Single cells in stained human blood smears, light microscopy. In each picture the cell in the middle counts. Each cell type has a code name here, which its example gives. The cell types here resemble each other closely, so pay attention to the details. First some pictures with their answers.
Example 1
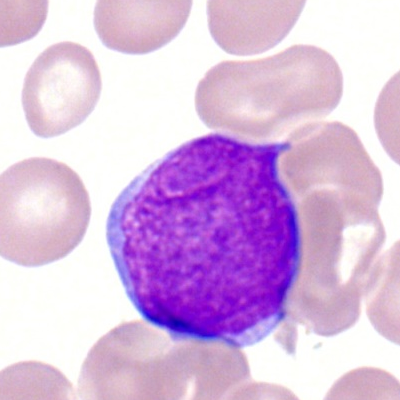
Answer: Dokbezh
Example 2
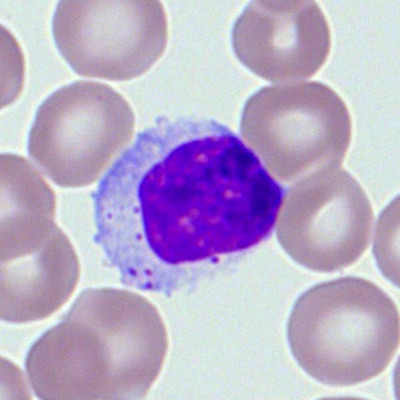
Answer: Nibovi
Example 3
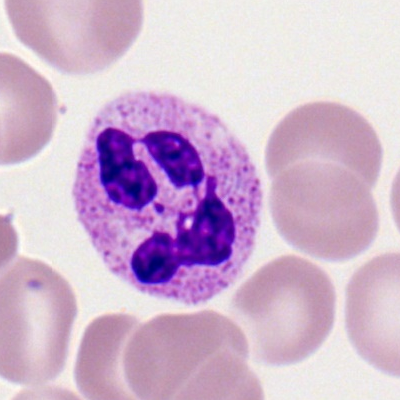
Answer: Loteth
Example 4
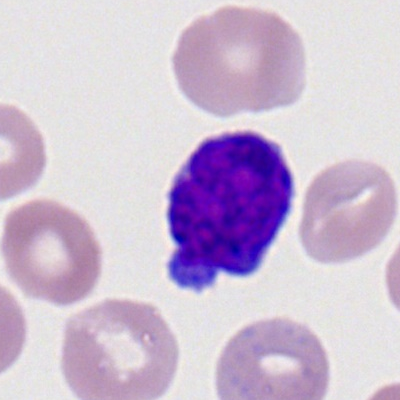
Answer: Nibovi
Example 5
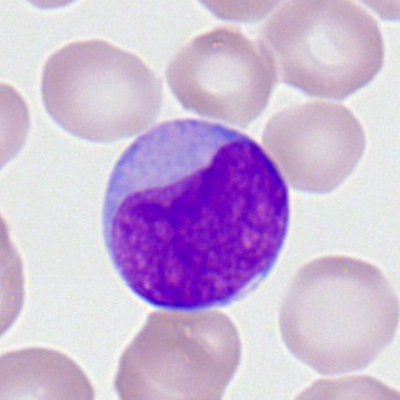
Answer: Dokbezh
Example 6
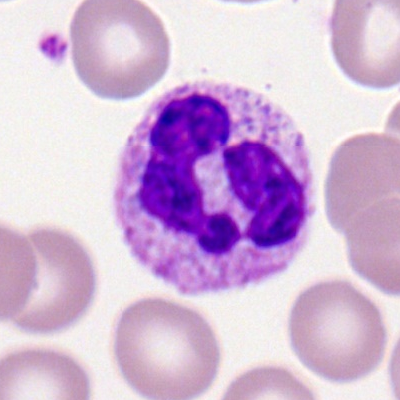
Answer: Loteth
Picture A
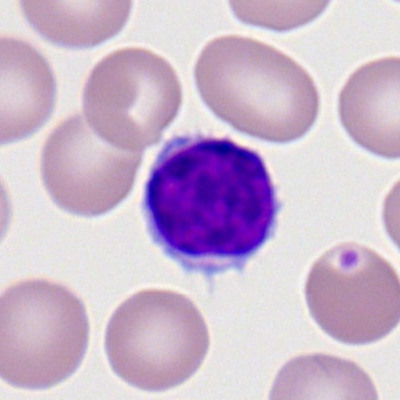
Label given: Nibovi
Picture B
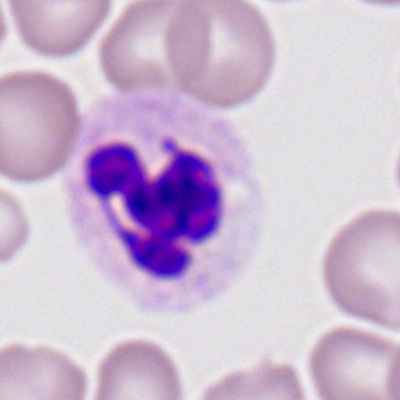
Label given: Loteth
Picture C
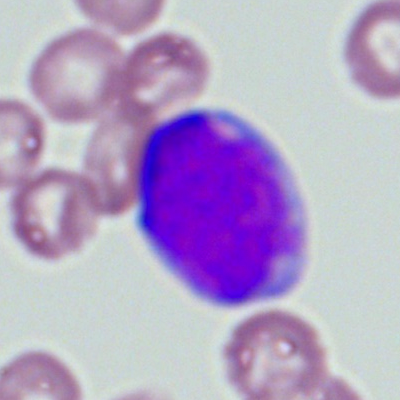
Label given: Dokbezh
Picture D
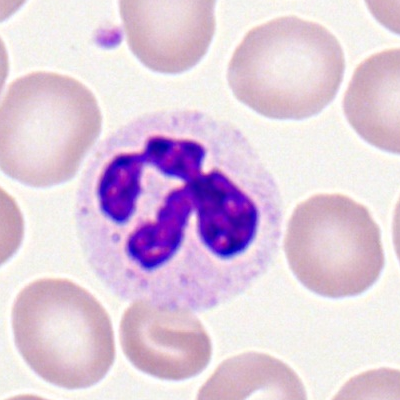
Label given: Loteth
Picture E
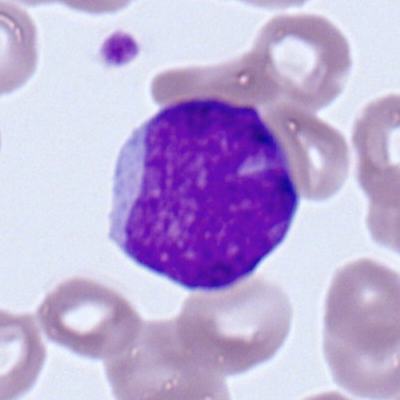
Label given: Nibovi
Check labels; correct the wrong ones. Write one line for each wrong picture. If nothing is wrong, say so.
E: Dokbezh, not Nibovi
